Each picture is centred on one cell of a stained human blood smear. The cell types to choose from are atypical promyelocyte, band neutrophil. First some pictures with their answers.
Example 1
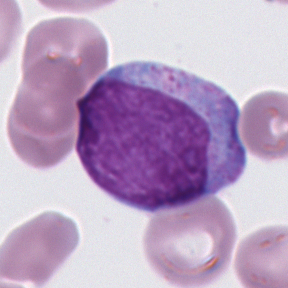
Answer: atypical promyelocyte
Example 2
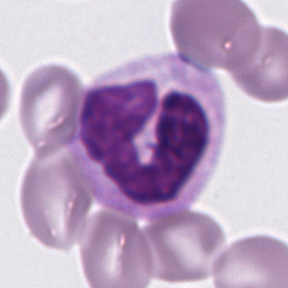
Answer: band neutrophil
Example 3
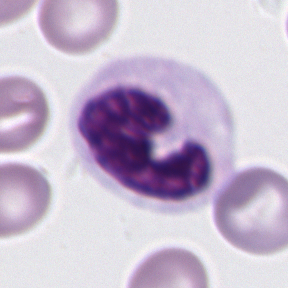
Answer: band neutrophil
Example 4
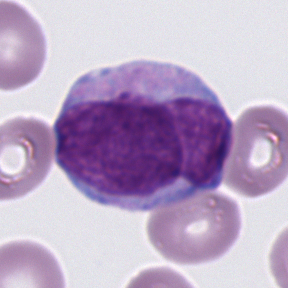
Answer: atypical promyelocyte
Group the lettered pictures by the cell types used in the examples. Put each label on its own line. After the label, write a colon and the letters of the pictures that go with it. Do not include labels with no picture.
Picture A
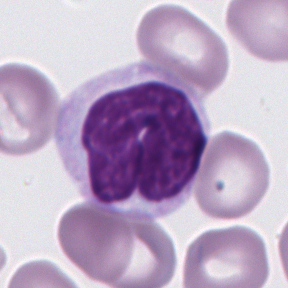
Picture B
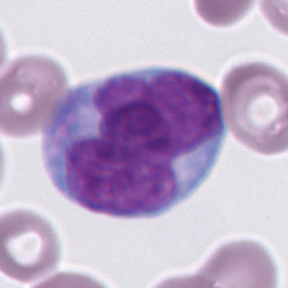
atypical promyelocyte: B
band neutrophil: A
